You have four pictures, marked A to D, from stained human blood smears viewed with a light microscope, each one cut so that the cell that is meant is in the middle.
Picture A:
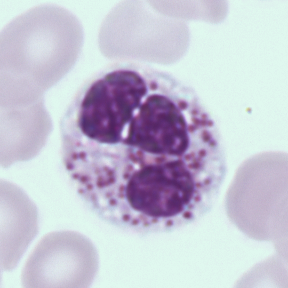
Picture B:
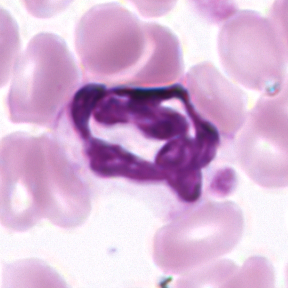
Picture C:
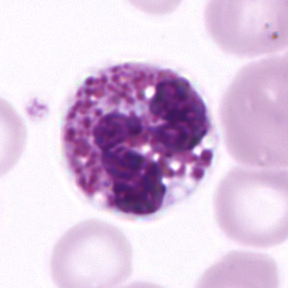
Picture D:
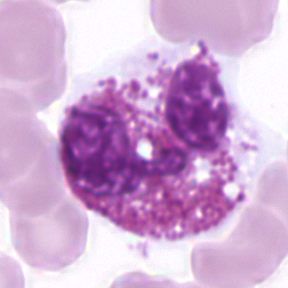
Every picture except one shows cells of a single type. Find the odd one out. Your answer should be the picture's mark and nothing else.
B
